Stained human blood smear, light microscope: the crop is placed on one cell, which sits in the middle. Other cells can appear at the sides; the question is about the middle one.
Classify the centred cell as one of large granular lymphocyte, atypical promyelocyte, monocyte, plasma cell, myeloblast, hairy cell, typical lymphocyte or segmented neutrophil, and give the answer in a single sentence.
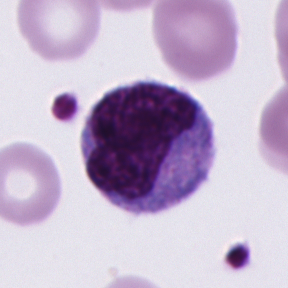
For this crop, the central cell is a monocyte.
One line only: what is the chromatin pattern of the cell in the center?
The chromatin in this nucleus is coarsely clumped.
